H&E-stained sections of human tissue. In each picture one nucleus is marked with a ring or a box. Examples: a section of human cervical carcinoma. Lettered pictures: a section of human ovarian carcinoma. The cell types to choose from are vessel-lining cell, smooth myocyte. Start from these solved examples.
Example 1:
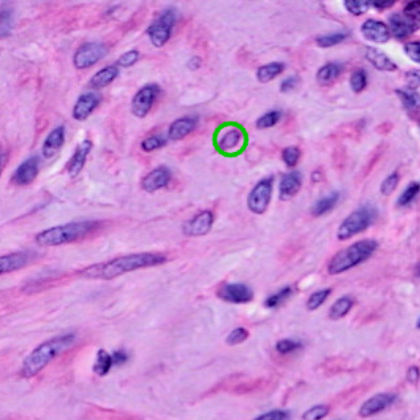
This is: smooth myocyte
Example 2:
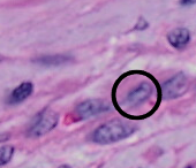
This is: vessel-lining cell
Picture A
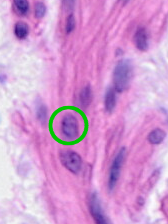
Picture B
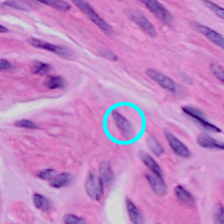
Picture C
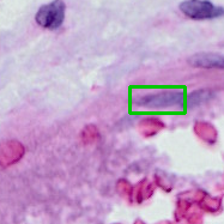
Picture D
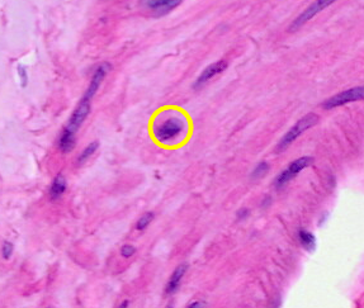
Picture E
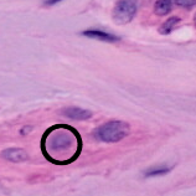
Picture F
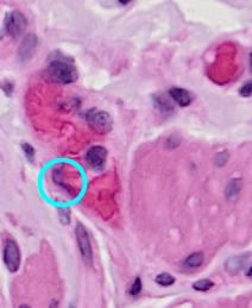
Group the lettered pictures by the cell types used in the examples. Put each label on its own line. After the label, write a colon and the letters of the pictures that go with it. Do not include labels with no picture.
vessel-lining cell: C, F
smooth myocyte: A, B, D, E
